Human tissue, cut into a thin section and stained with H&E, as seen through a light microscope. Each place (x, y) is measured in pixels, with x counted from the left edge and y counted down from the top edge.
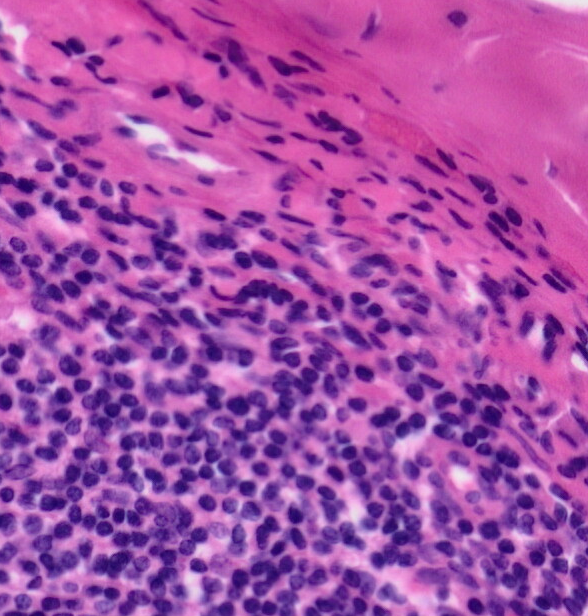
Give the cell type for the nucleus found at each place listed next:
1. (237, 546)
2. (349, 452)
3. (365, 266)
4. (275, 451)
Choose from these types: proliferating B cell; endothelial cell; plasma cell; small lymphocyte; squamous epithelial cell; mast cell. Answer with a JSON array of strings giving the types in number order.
["small lymphocyte", "small lymphocyte", "endothelial cell", "small lymphocyte"]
